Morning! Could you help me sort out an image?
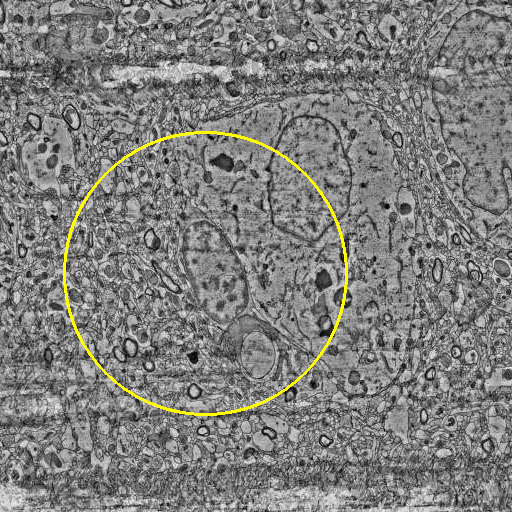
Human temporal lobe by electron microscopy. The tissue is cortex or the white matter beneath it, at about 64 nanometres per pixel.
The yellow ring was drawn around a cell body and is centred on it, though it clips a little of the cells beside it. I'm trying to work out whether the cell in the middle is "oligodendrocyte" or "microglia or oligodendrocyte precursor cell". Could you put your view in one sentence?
The ringed cell body is that of an oligodendrocyte.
